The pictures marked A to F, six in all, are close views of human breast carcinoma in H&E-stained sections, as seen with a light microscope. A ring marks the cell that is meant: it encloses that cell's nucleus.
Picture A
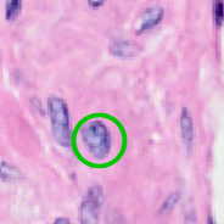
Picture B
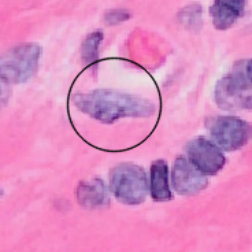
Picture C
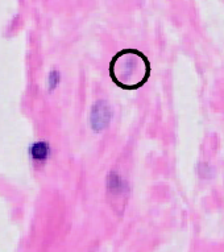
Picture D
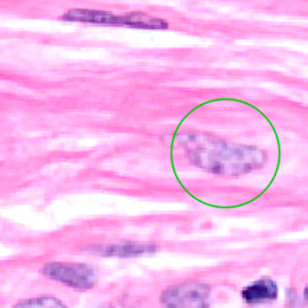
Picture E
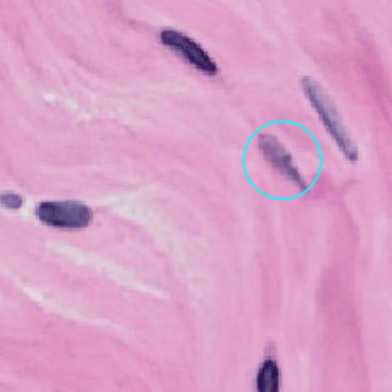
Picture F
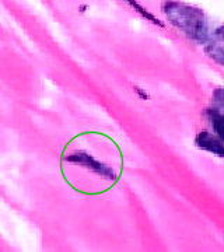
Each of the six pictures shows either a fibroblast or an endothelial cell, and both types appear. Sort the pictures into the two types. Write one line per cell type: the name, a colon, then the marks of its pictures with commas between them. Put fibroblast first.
fibroblast: C, D, E, F
endothelial cell: A, B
